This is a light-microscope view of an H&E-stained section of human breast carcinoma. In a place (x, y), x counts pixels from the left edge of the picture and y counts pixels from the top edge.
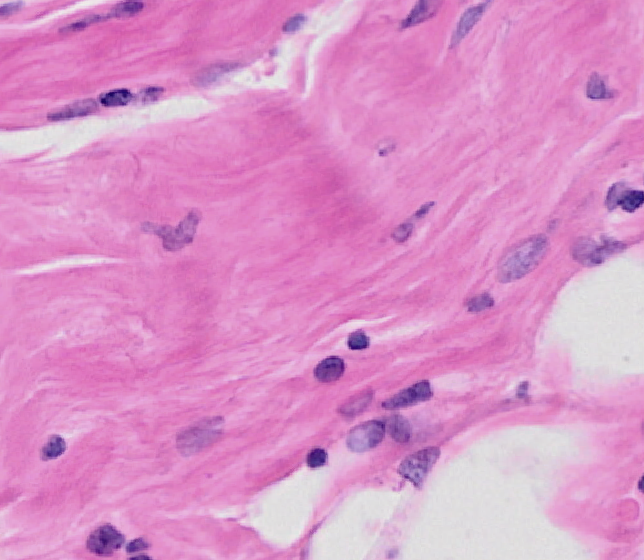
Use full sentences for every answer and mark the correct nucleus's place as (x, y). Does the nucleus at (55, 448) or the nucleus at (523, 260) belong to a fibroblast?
The nucleus that belongs to a fibroblast sits at (523, 260).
